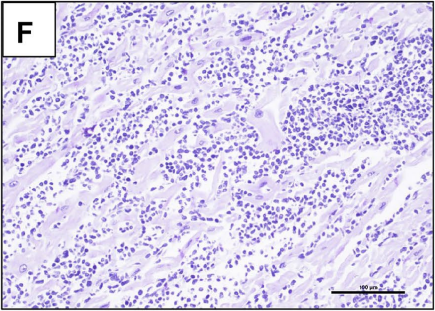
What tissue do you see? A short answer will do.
Heart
